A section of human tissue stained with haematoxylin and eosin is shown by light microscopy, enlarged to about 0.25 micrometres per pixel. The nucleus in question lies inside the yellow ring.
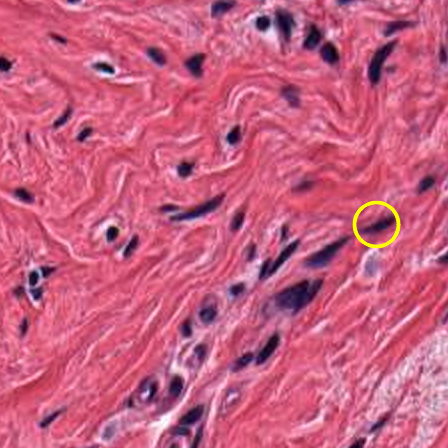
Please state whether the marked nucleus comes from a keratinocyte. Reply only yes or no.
no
